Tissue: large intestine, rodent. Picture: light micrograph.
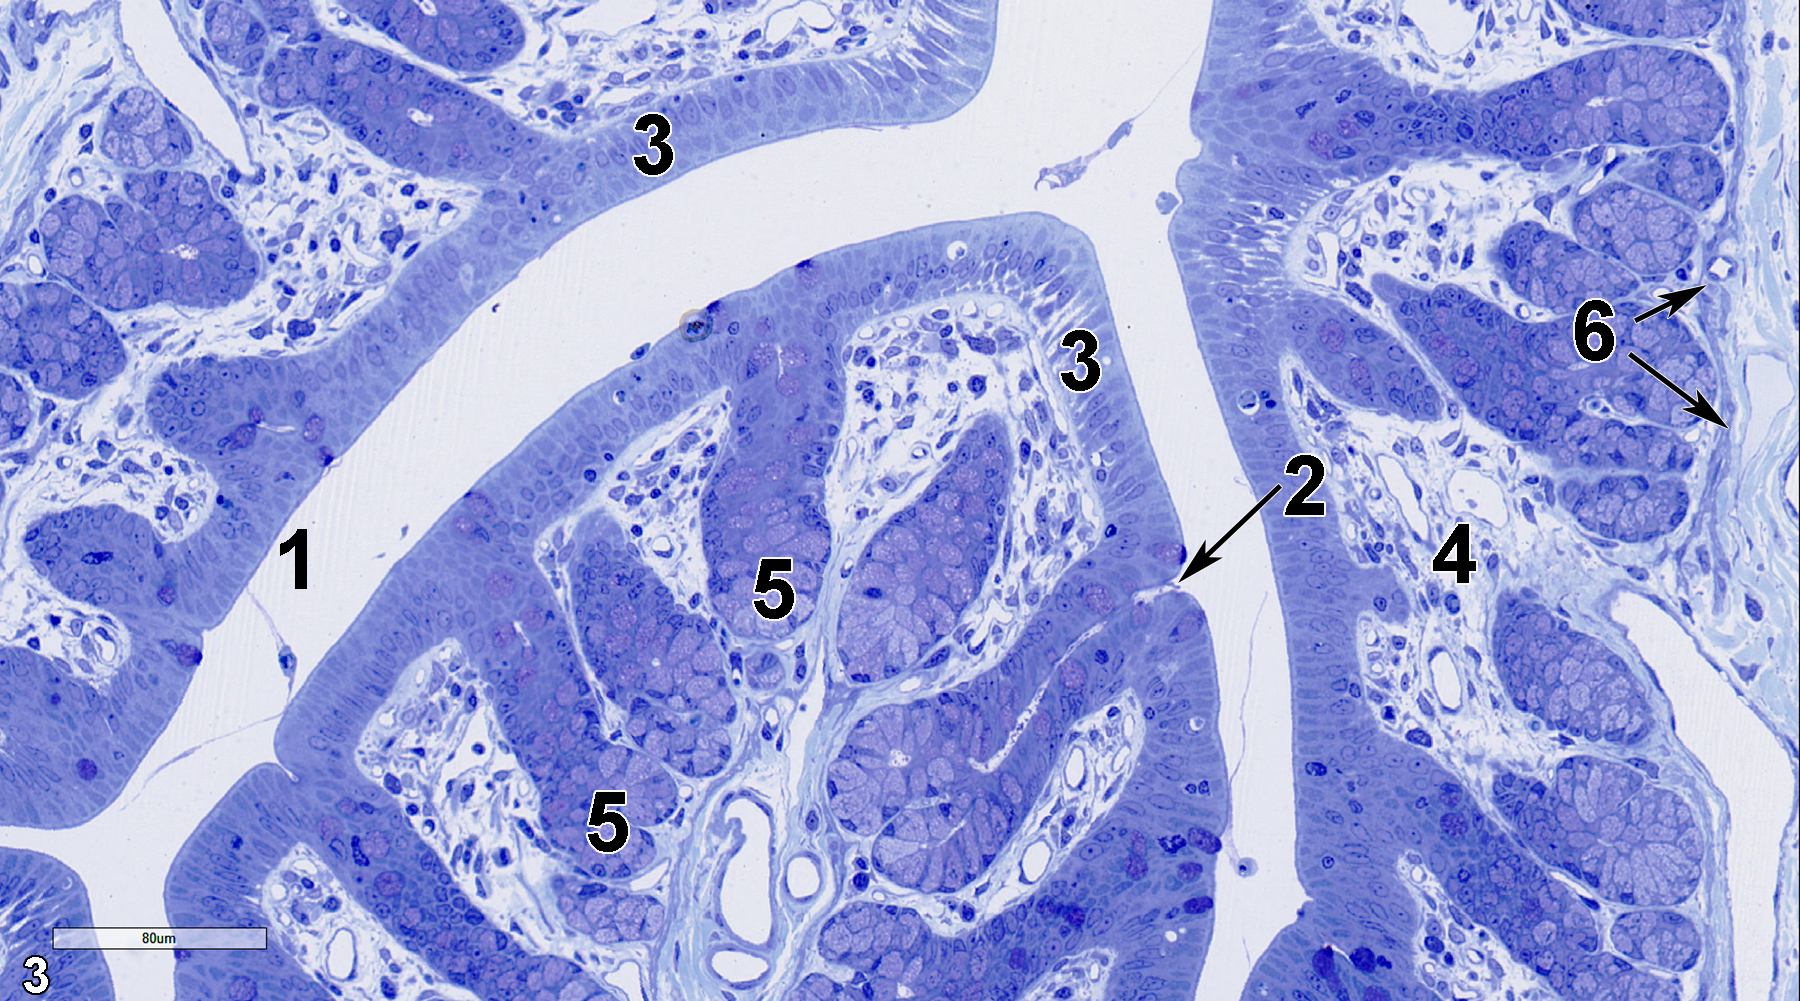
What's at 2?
Entrance to the gland.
